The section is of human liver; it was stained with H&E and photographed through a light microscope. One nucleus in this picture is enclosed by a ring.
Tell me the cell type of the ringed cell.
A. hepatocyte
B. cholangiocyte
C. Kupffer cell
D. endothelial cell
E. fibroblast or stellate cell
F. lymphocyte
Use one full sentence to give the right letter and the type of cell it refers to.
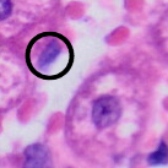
The correct option, D, describes the ringed cell as an endothelial cell.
